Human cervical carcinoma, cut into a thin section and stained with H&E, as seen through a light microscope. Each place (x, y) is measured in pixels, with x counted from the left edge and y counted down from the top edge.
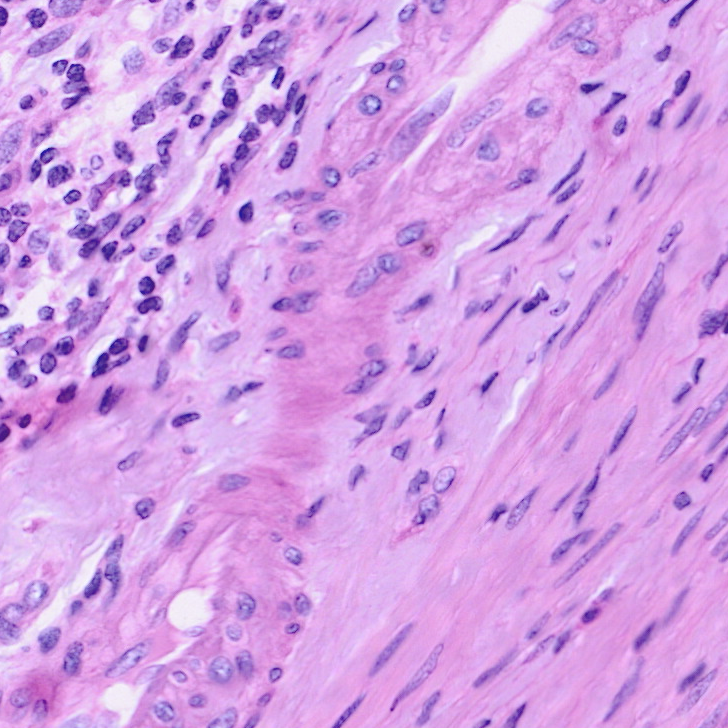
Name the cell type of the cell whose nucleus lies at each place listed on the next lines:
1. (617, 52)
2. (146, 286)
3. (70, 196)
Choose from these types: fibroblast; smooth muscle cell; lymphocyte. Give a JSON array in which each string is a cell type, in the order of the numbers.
["smooth muscle cell", "lymphocyte", "lymphocyte"]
